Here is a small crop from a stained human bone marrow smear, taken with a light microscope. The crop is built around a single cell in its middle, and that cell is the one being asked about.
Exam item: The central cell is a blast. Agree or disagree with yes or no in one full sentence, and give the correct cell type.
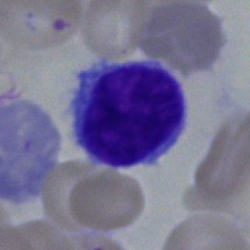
No, it isn't a blast; what sits in the middle is a lymphocyte.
